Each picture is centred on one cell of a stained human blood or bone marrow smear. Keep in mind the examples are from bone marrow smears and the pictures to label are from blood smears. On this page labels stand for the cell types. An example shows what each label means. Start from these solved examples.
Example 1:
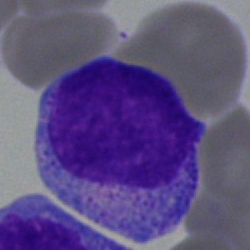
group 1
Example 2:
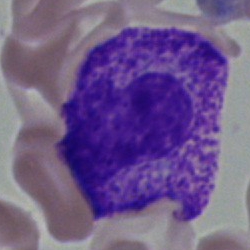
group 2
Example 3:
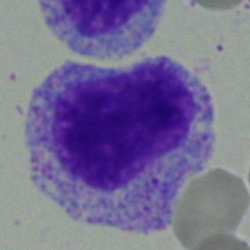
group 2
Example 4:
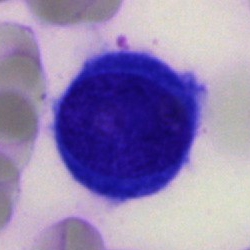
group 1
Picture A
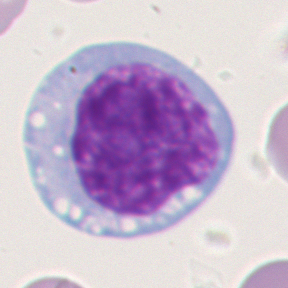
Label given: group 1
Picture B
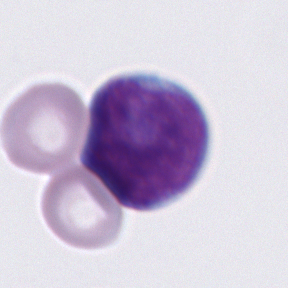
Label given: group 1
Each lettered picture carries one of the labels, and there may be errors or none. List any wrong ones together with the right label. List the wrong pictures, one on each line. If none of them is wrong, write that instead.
All labels are correct.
